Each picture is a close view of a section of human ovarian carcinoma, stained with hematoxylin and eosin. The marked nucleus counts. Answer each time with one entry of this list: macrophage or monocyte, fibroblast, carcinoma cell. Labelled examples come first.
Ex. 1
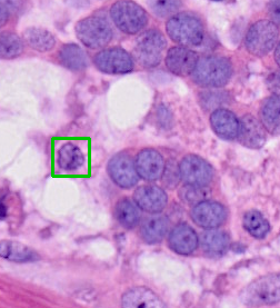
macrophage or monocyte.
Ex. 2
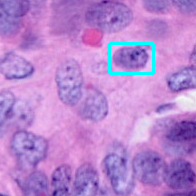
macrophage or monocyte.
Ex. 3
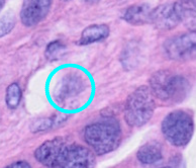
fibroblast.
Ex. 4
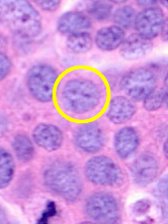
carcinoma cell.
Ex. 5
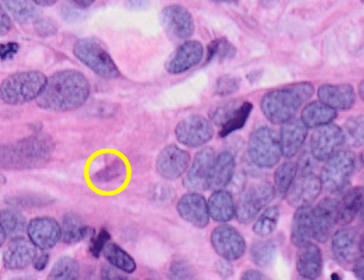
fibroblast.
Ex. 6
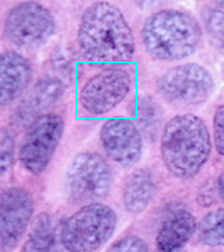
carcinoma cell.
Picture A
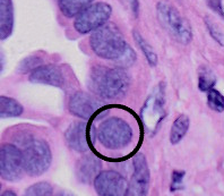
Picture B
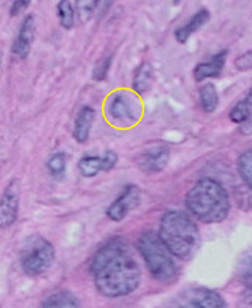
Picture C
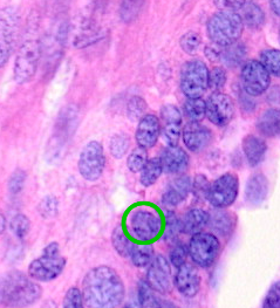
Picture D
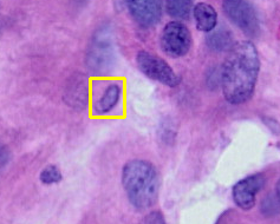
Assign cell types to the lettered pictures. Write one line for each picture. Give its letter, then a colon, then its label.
A: carcinoma cell.
B: fibroblast.
C: carcinoma cell.
D: macrophage or monocyte.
